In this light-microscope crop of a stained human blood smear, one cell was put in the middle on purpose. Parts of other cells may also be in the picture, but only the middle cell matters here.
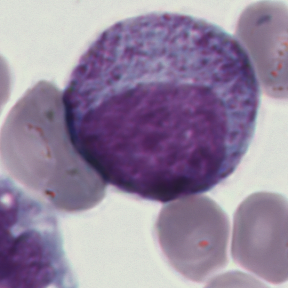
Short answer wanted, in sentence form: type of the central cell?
Where the crop is centred, there is a promyelocyte.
